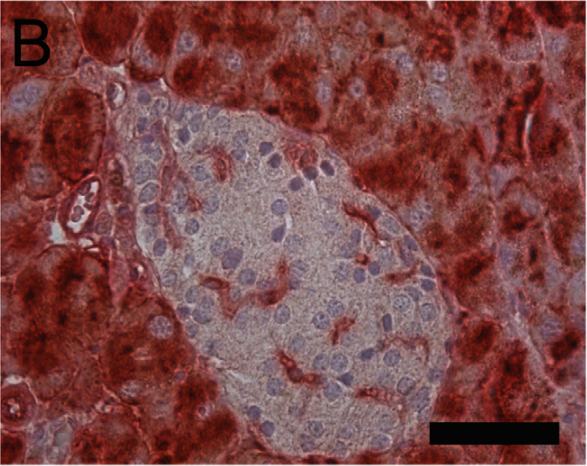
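An oval pancreatic islet of pale cells lies within darker exocrine tissue. The islet cells have round blue nuclei and pale greyish cytoplasm and are packed closely together. Thin, tube-like red-brown profiles wind between them, some branching, representing the islet capillaries. The surrounding acinar cells are filled with dense, dark red granular cytoplasm and form clustered acini, their blue nuclei visible among the stain. Small vessels also appear at the islet edge, where the islet meets the exocrine tissue along a fairly sharp border.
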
